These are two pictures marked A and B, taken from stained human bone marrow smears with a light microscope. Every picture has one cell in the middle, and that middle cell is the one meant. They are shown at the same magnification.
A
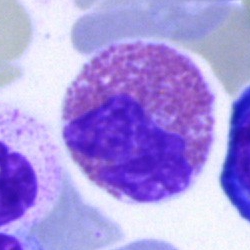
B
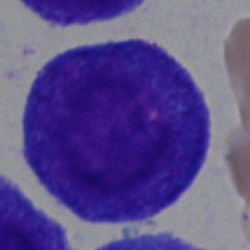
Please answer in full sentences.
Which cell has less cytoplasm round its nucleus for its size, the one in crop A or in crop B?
In crop B the nucleus takes up the larger part of its cell.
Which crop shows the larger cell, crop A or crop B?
The cell in crop B is larger, with about 1.5 times the area of the one in crop A.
